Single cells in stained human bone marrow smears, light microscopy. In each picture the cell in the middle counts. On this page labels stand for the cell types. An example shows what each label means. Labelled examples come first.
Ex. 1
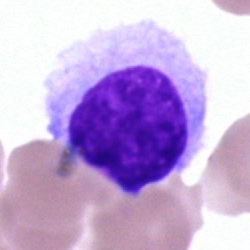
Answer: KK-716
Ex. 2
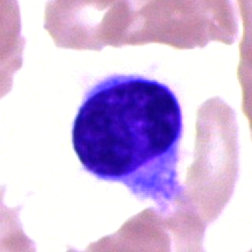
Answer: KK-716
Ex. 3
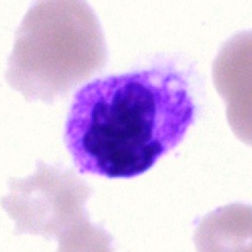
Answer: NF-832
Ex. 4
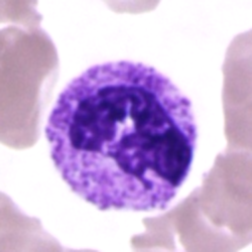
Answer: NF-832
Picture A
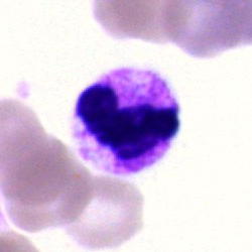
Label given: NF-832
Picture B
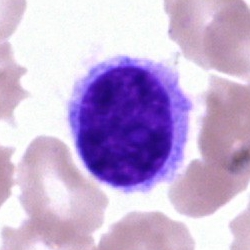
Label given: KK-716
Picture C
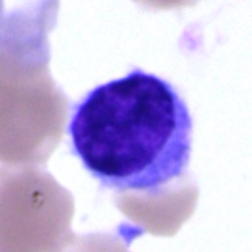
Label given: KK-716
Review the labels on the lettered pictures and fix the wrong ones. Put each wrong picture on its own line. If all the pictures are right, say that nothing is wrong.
All labels are correct.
